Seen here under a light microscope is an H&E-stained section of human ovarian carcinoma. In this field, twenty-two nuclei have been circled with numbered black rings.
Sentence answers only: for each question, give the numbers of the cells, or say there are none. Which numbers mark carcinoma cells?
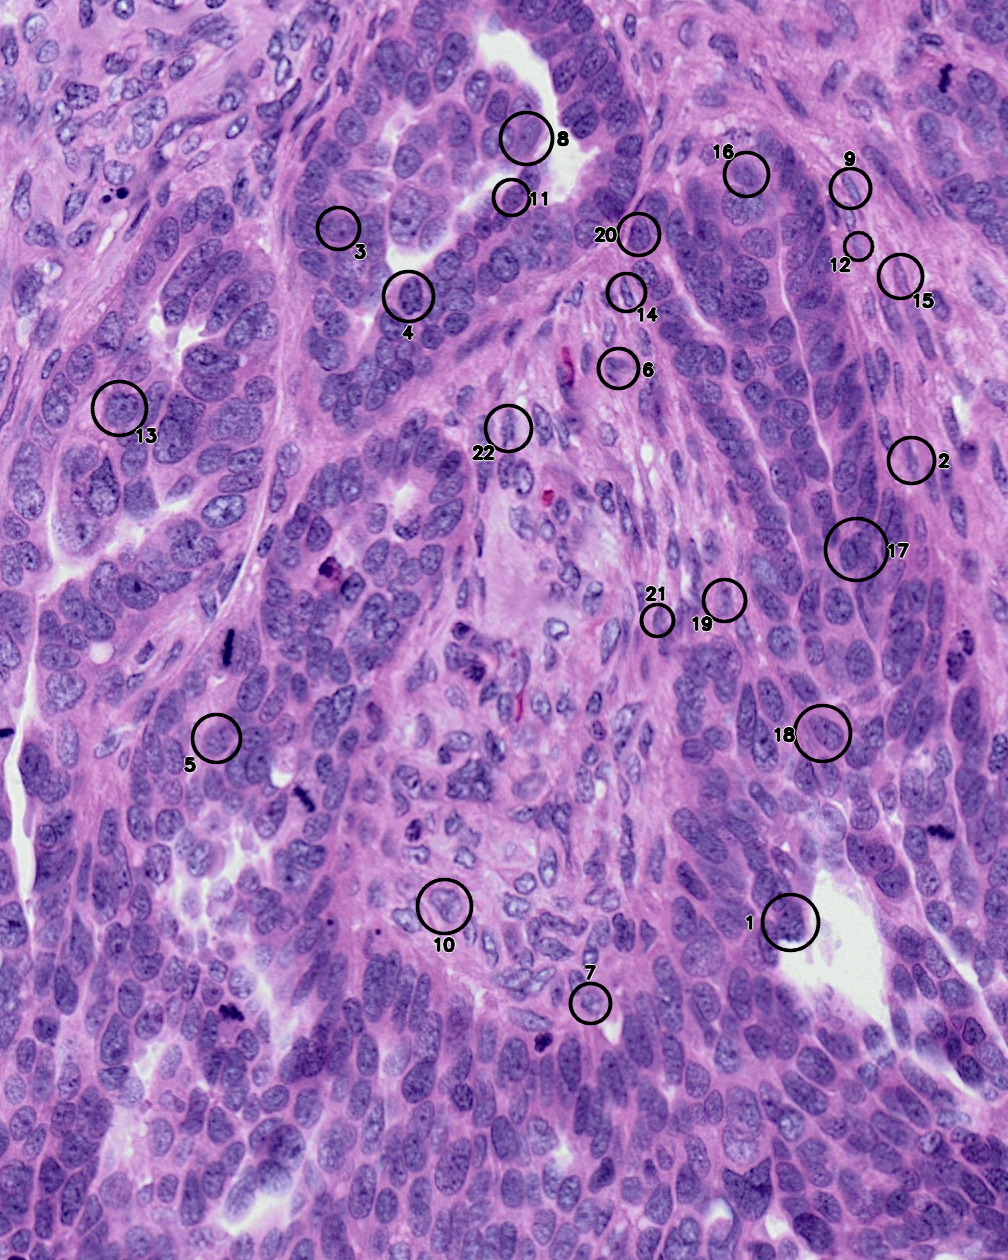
The cells numbered 1, 3, 4, 5, 8, 11, 13, 16, 17, 18 and 20 are identified as carcinoma cells.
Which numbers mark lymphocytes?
All of the numbered cells are cells other than lymphocytes.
